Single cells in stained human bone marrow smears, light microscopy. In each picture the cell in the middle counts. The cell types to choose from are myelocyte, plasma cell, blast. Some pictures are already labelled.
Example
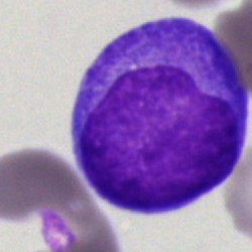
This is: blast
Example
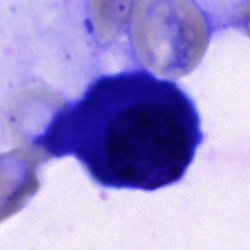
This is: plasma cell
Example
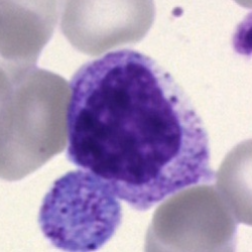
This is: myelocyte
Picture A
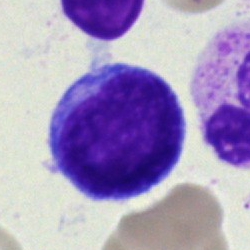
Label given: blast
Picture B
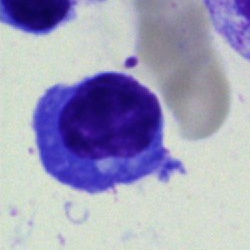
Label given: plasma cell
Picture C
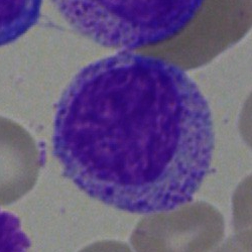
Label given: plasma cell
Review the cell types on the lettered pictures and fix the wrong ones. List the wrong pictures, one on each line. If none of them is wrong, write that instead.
C: change plasma cell to myelocyte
